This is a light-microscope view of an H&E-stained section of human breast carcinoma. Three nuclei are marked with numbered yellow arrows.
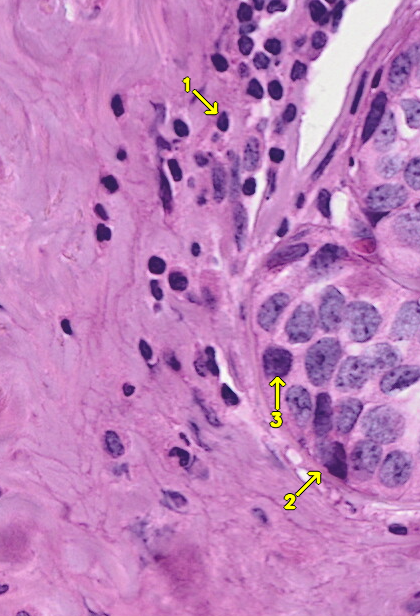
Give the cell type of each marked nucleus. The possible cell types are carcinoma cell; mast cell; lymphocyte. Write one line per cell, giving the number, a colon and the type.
1: lymphocyte
2: carcinoma cell
3: carcinoma cell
